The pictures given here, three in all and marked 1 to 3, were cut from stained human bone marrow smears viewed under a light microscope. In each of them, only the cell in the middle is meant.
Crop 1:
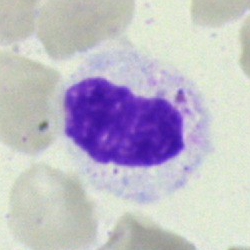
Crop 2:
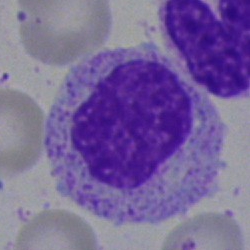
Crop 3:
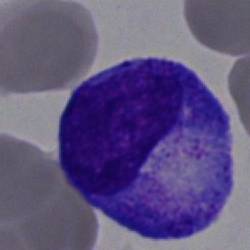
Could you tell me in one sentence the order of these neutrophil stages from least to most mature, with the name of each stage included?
Ordered from least to most mature, the cells run crop 3 (a promyelocyte), crop 2 (a myelocyte) and crop 1 (a metamyelocyte).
